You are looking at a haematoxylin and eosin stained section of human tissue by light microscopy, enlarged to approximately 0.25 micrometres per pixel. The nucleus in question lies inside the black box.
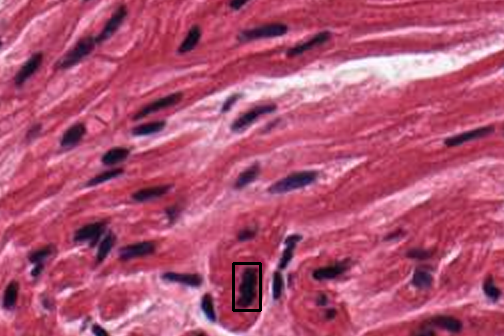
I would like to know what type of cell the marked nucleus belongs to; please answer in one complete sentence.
Singled out by the mark is the nucleus of a cardiomyocyte.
